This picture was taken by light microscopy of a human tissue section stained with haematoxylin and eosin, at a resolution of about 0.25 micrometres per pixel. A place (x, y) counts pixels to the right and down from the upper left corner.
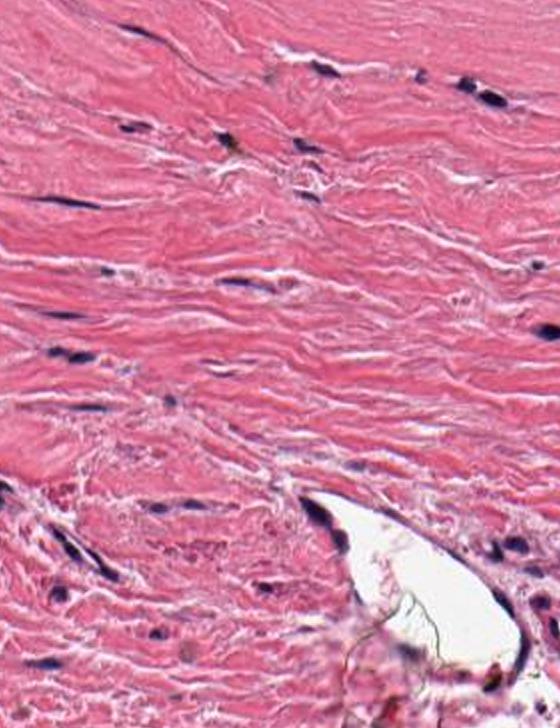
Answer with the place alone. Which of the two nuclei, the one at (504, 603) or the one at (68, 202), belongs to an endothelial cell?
(504, 603)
